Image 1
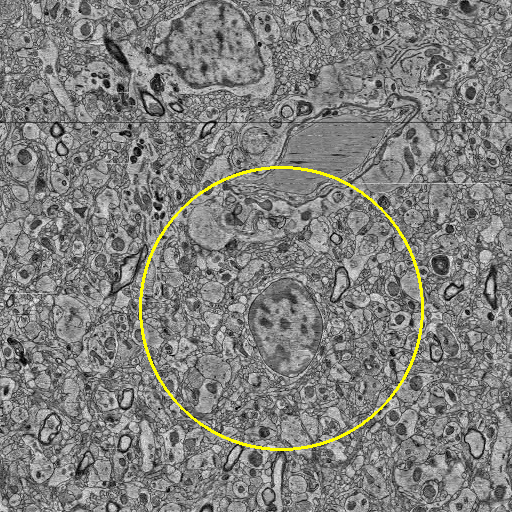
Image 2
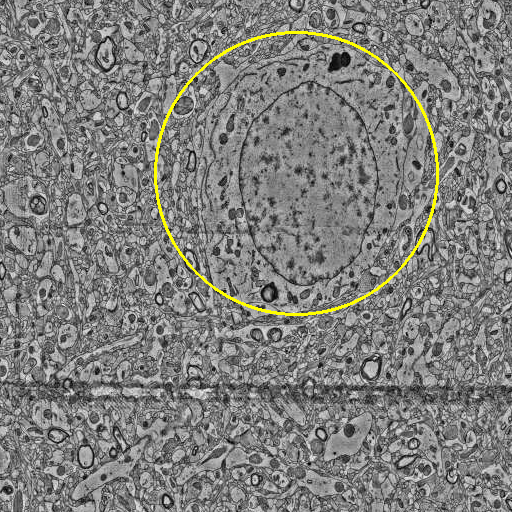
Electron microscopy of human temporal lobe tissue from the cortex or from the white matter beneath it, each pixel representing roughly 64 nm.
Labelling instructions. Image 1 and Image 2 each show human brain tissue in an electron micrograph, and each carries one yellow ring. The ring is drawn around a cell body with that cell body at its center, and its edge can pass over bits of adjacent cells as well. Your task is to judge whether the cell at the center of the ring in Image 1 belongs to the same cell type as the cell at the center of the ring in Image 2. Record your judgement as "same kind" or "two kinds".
two kinds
